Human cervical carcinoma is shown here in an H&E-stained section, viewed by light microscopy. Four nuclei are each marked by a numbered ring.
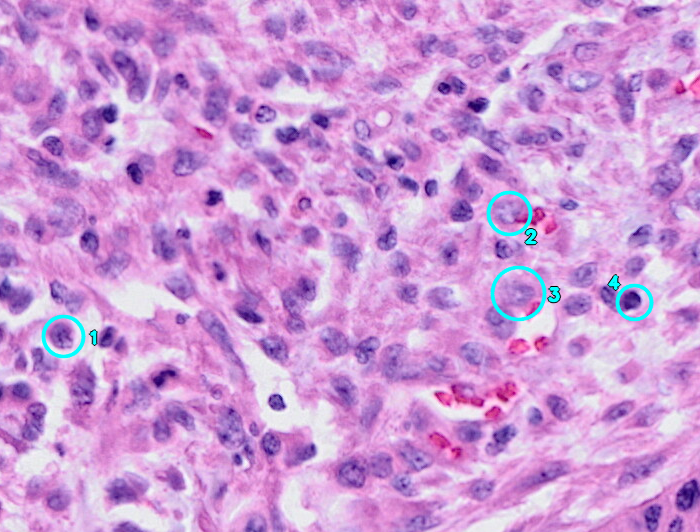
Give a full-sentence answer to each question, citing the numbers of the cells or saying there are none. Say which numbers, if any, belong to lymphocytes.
Only nucleus 4 belongs to a lymphocyte; the other numbered nuclei do not.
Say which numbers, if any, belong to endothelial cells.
The numbers 2 and 3 mark cells that are endothelial cells.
